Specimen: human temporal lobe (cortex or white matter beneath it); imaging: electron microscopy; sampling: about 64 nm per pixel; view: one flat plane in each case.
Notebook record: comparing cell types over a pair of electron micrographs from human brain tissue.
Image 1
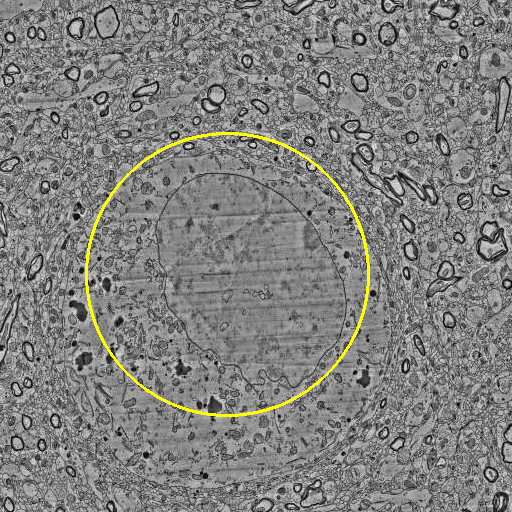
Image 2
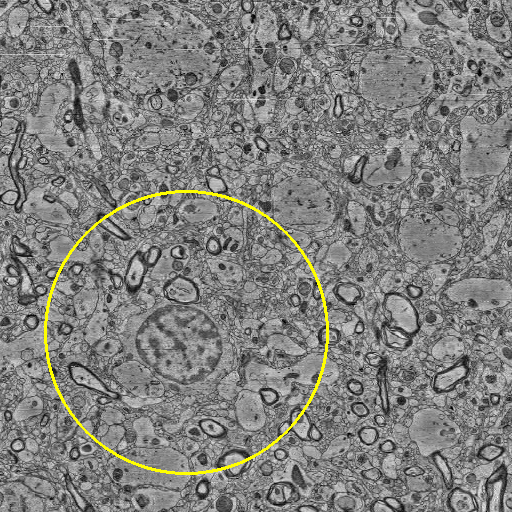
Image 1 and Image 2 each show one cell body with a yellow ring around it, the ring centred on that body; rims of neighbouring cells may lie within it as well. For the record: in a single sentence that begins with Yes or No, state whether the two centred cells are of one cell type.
No, two cell types are found among the centred cells of Image 1 and Image 2.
